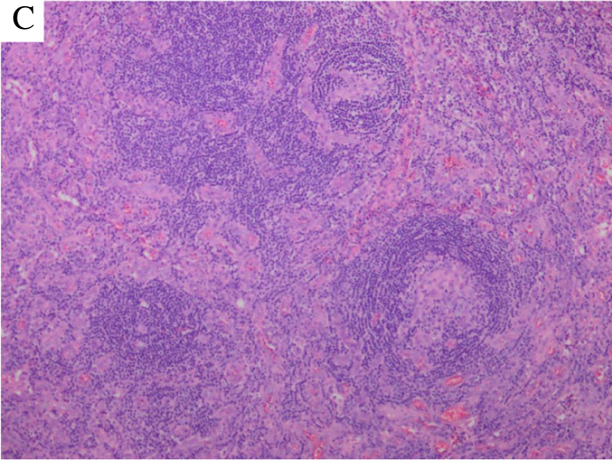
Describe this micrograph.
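This is lymph node tissue at moderate magnification with scattered lymphoid follicles set in a pink, vascular background. Around the centres, small dark lymphocytes are arranged in concentric, onion-skin-like rings. Between the follicles the tissue is pink and rich in small vessels.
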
